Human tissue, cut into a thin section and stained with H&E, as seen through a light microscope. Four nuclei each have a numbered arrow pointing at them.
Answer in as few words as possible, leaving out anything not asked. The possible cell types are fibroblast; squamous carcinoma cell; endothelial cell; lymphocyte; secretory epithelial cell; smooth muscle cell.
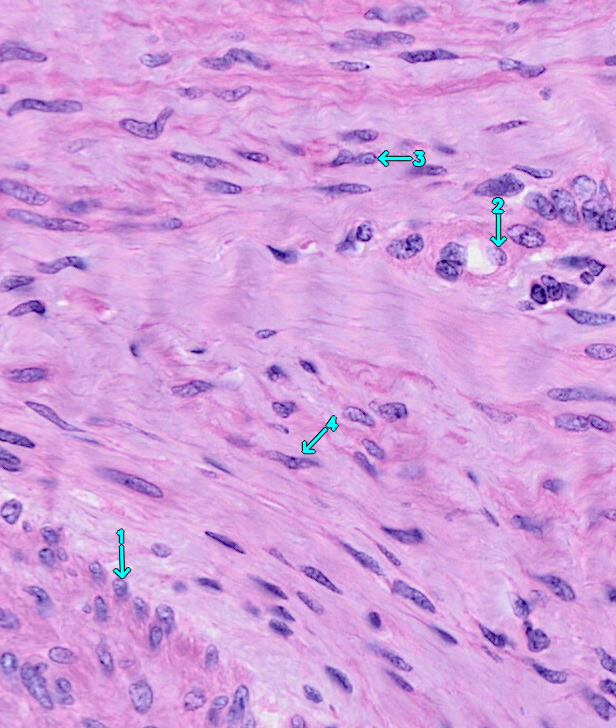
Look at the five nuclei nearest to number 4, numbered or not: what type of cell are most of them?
smooth muscle cell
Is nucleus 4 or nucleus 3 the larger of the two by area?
4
